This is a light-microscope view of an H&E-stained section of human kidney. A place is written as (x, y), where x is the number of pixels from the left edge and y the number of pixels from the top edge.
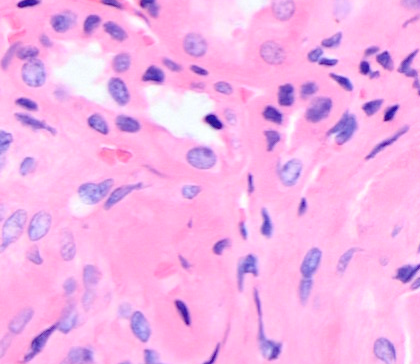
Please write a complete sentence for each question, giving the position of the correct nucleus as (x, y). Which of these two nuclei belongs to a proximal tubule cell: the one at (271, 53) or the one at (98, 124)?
Of the two, the nucleus lying at (271, 53) is the one belonging to a proximal tubule cell.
